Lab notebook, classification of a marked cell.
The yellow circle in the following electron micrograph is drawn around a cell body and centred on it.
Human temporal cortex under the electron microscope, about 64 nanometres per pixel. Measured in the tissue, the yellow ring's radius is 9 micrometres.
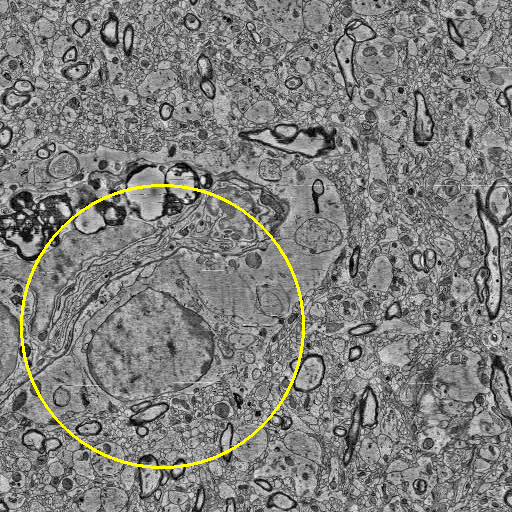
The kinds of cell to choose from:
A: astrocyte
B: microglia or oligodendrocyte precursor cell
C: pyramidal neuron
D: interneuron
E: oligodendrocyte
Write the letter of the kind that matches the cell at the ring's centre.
B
